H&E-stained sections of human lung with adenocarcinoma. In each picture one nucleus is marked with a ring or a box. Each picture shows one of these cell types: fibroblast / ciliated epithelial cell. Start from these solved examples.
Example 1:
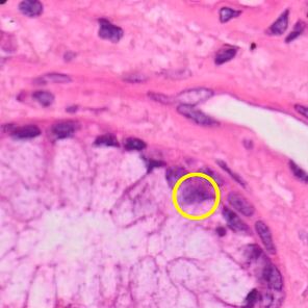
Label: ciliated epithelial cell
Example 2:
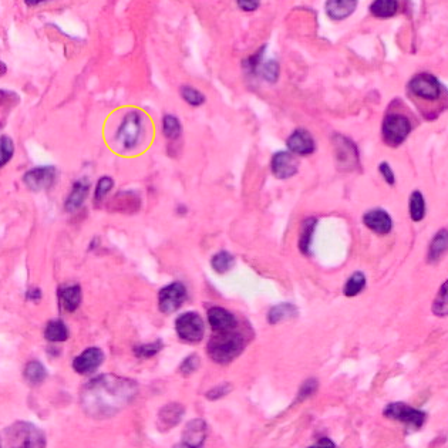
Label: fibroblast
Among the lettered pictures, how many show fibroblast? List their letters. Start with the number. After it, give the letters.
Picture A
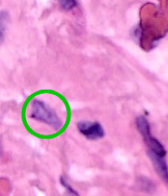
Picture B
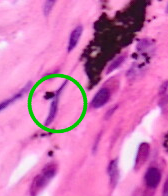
Count: 2 (A, B)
